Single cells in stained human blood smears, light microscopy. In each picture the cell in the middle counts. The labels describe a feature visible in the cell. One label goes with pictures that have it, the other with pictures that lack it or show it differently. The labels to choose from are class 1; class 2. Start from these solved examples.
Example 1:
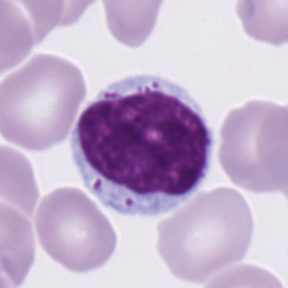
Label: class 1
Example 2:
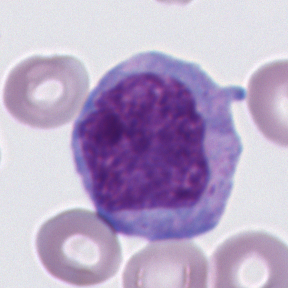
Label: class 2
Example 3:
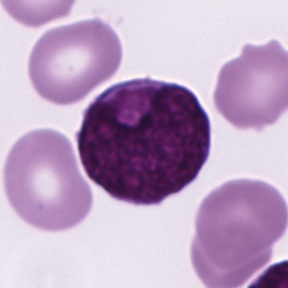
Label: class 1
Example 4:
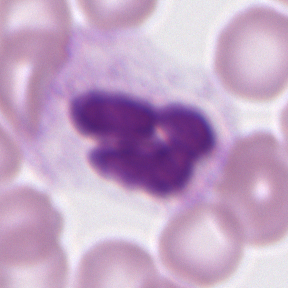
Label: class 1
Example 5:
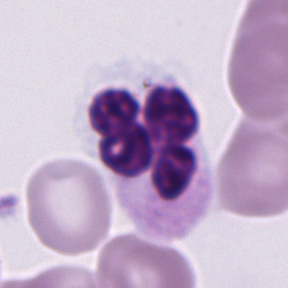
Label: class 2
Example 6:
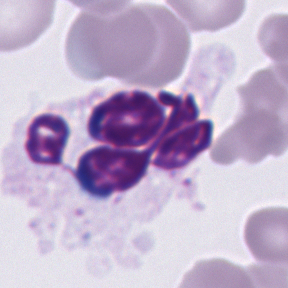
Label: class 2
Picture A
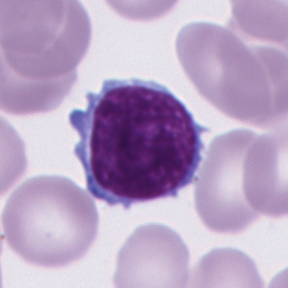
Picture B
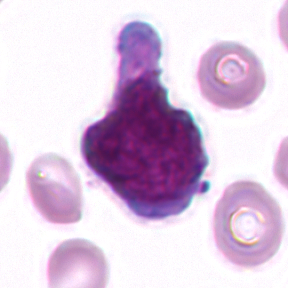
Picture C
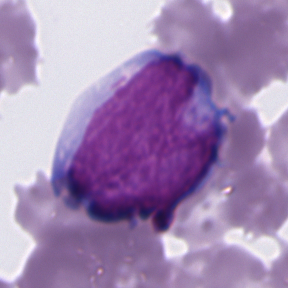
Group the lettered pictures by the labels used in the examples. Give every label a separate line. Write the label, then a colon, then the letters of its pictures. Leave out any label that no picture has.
class 2: A, B, C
